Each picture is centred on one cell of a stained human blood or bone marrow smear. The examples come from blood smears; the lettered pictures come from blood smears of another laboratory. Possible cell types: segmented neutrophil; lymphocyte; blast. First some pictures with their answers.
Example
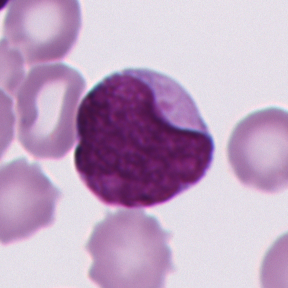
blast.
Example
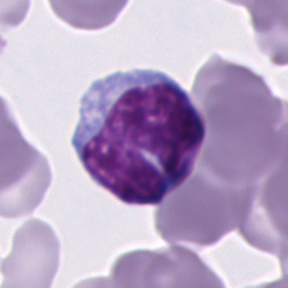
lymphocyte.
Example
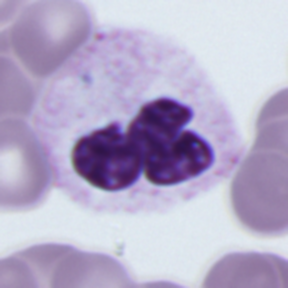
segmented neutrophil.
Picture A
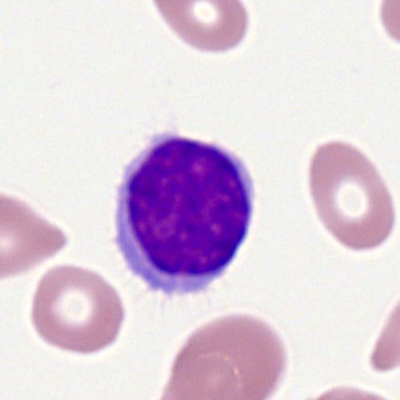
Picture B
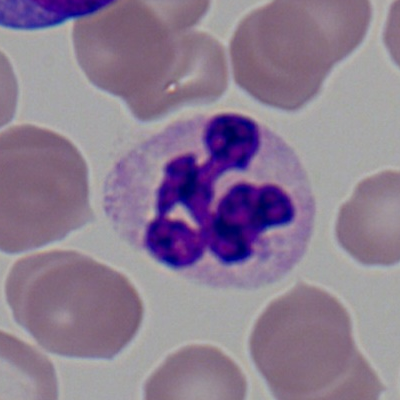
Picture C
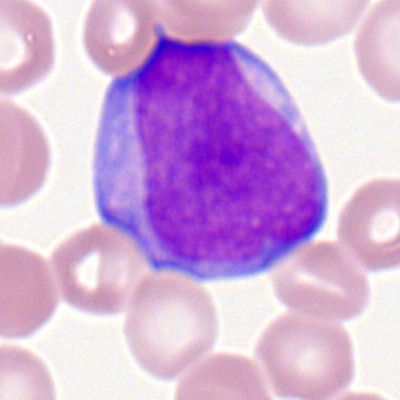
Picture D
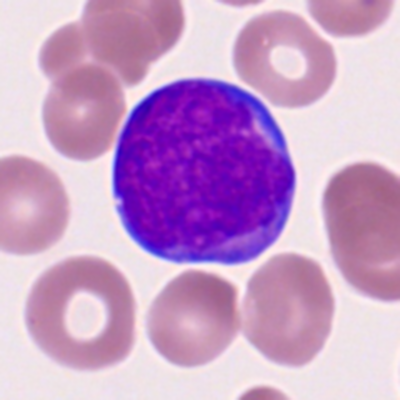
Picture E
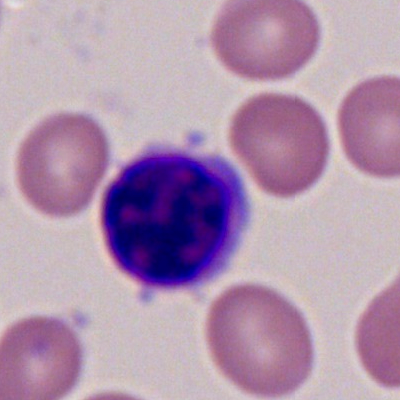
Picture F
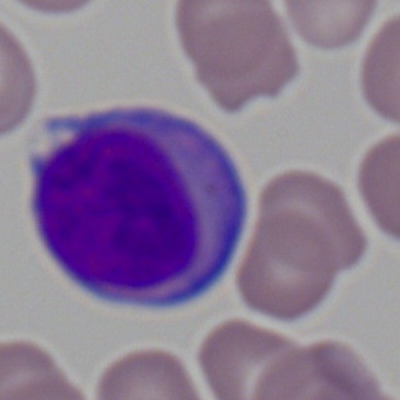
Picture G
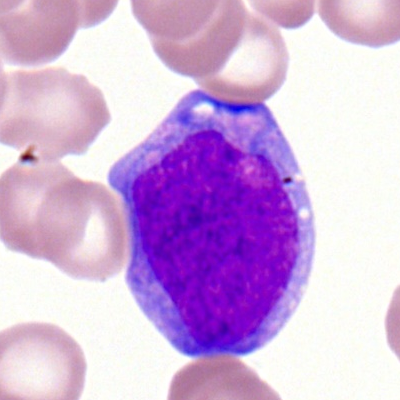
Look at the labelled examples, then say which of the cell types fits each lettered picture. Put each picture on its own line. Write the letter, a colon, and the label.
A: lymphocyte.
B: segmented neutrophil.
C: blast.
D: blast.
E: lymphocyte.
F: blast.
G: blast.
